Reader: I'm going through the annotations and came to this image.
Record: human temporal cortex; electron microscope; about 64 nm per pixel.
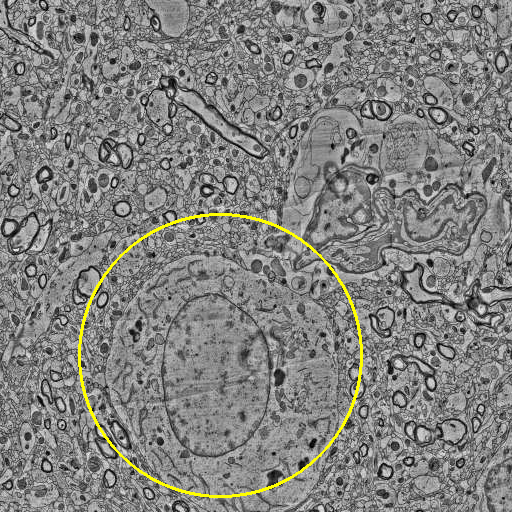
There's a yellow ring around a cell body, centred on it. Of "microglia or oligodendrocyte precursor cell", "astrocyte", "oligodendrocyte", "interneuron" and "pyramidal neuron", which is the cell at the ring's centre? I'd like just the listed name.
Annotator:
pyramidal neuron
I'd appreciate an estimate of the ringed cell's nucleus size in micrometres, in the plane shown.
The nucleus of the ringed cell is approximately 10 by 7 micrometres in this plane.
